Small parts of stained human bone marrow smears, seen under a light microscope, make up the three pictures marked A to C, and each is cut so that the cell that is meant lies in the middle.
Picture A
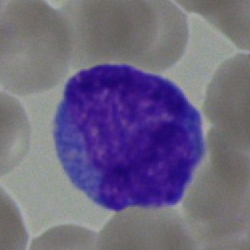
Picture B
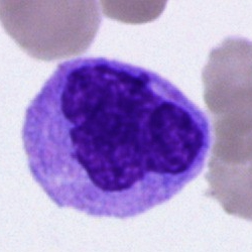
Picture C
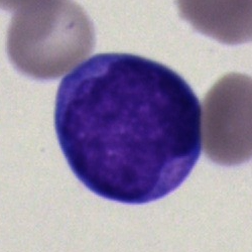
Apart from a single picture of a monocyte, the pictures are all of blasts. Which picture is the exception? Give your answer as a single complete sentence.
It is picture B that shows the monocyte.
